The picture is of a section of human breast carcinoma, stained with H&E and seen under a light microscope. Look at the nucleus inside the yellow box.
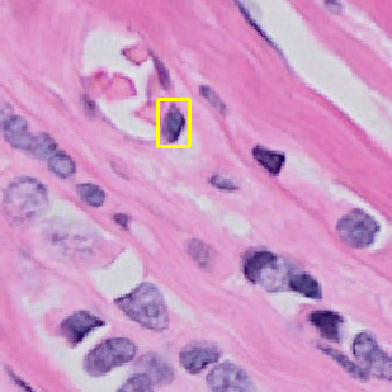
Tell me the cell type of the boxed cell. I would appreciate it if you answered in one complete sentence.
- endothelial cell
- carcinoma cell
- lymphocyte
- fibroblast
As for its identity, the boxed cell is an endothelial cell.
